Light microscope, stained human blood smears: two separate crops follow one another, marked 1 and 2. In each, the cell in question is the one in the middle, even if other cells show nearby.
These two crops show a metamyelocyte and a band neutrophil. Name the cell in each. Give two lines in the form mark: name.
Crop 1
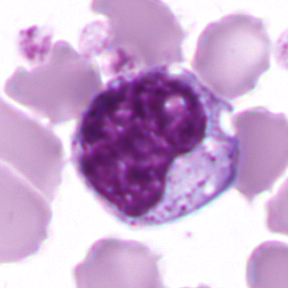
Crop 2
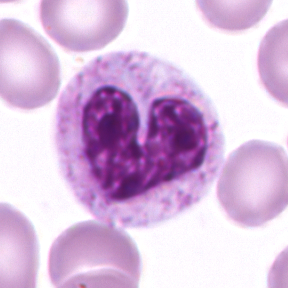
1: metamyelocyte
2: band neutrophil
